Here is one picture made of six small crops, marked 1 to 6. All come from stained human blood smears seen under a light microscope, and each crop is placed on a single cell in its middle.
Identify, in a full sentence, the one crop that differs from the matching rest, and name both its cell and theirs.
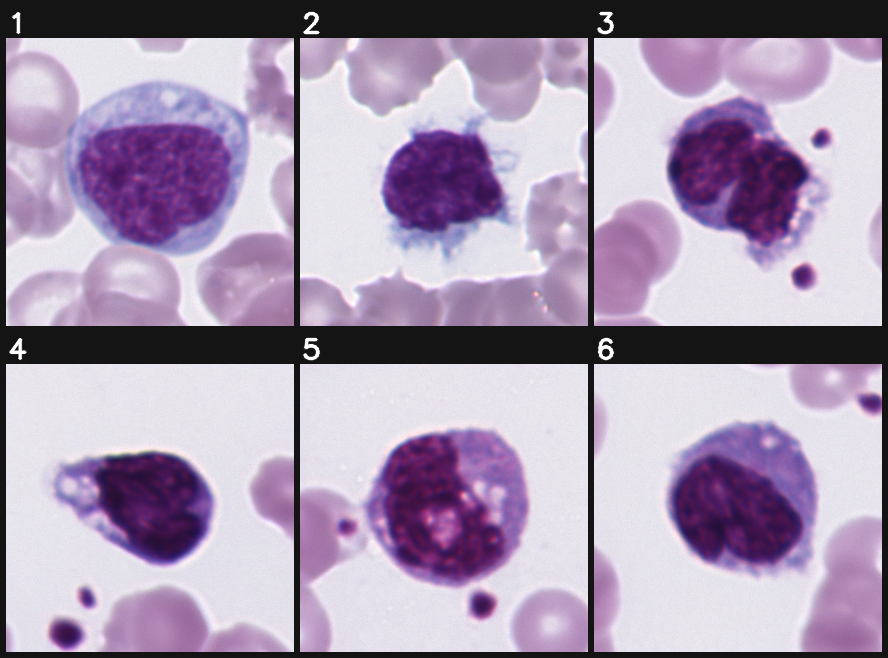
The crops all show monocytes, with the exception of crop 2, which shows a hairy cell.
